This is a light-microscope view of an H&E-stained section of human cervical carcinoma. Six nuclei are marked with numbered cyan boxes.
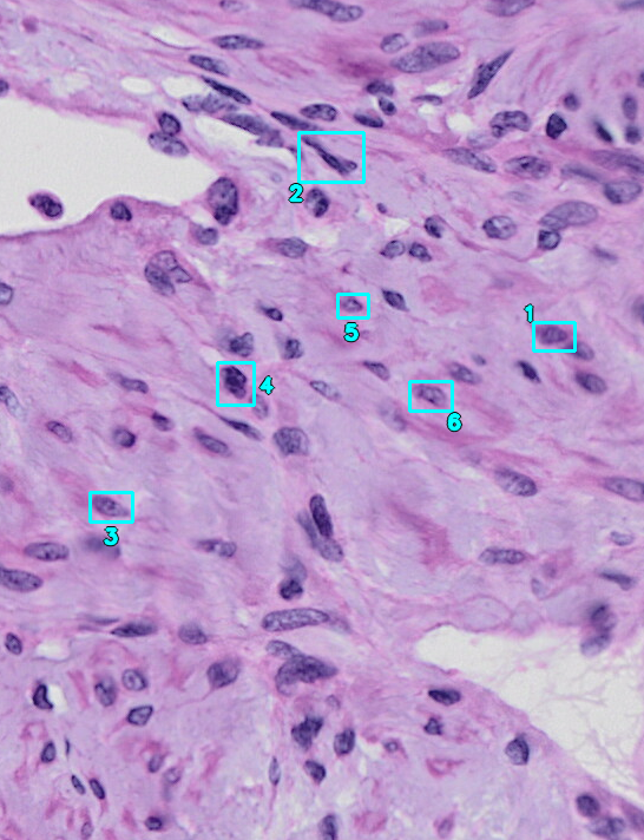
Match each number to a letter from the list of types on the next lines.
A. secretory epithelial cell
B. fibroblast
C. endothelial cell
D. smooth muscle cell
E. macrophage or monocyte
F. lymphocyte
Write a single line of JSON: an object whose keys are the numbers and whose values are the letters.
{"1": "D", "2": "B", "3": "D", "4": "F", "5": "D", "6": "D"}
